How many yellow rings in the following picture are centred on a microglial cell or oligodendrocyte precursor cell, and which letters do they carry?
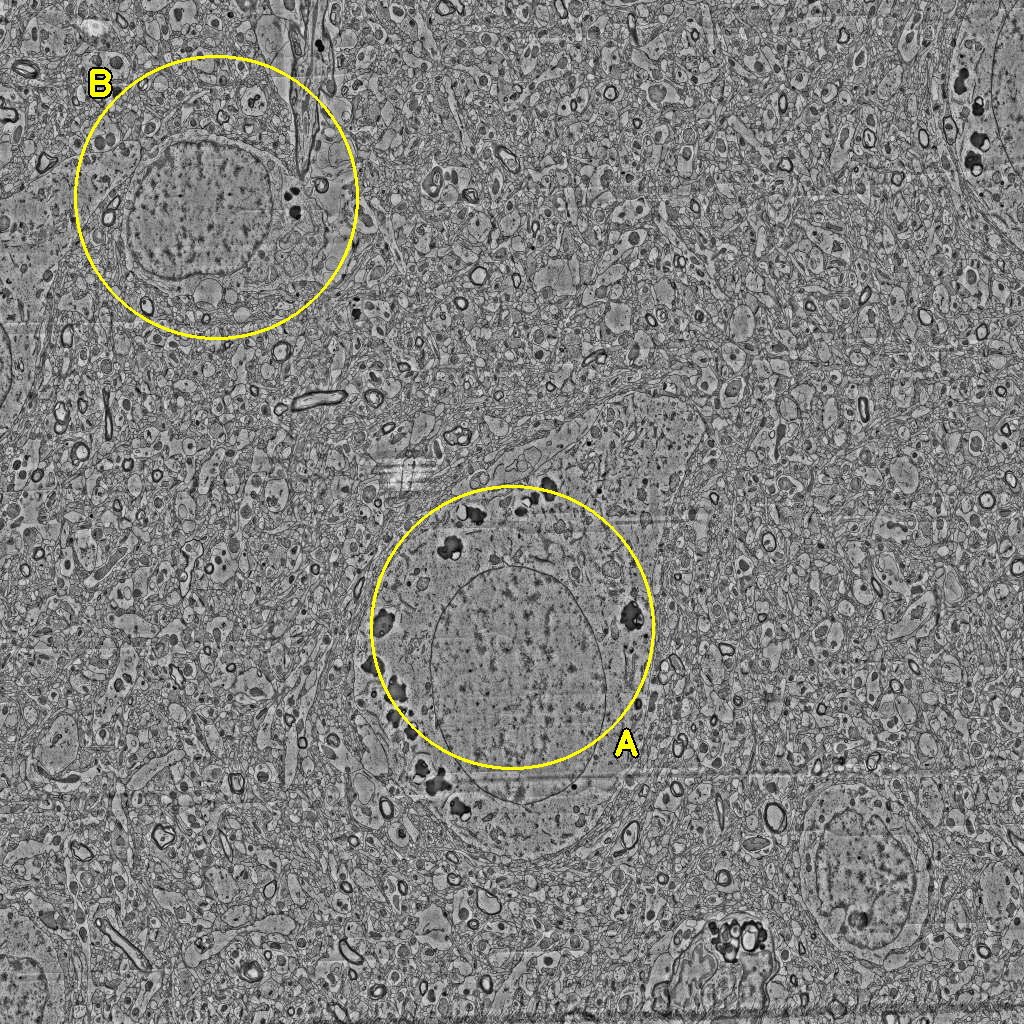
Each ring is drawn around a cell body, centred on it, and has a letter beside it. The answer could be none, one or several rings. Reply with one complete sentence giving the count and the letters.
No ring in this micrograph is centred on a microglial cell or oligodendrocyte precursor cell, giving a count of zero.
